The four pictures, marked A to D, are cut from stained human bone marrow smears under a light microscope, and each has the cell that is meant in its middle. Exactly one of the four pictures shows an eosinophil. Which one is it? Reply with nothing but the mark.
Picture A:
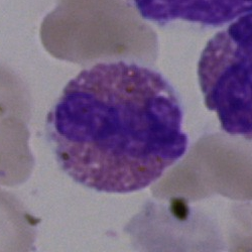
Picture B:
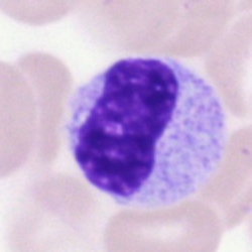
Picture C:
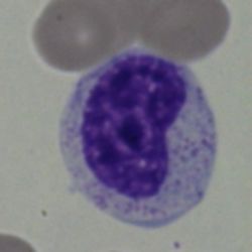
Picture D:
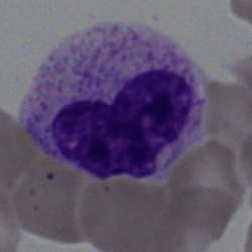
A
